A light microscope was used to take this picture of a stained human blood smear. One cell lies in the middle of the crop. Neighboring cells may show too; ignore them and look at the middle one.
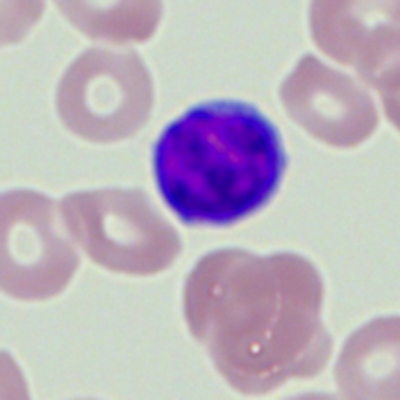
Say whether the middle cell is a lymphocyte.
yes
